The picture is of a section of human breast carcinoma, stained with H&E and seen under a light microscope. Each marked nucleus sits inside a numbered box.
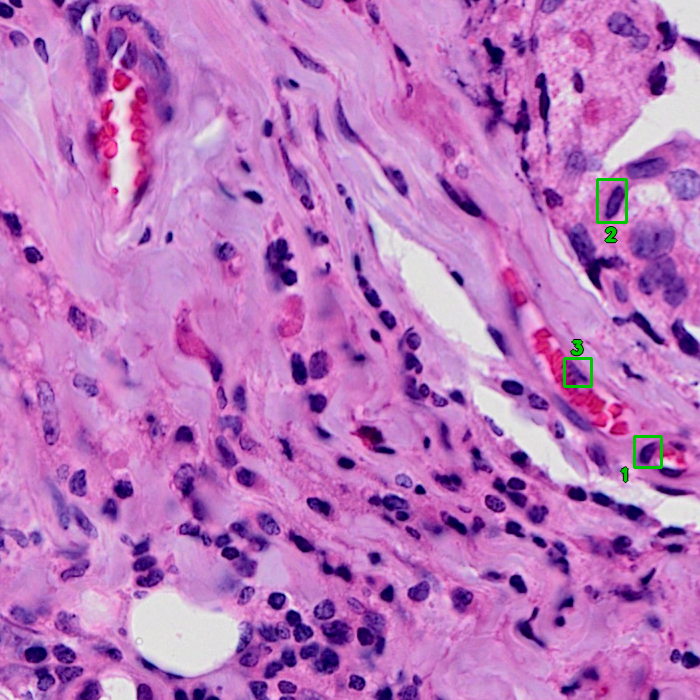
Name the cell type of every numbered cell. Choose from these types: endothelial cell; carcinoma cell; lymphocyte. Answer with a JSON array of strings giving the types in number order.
["endothelial cell", "carcinoma cell", "endothelial cell"]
